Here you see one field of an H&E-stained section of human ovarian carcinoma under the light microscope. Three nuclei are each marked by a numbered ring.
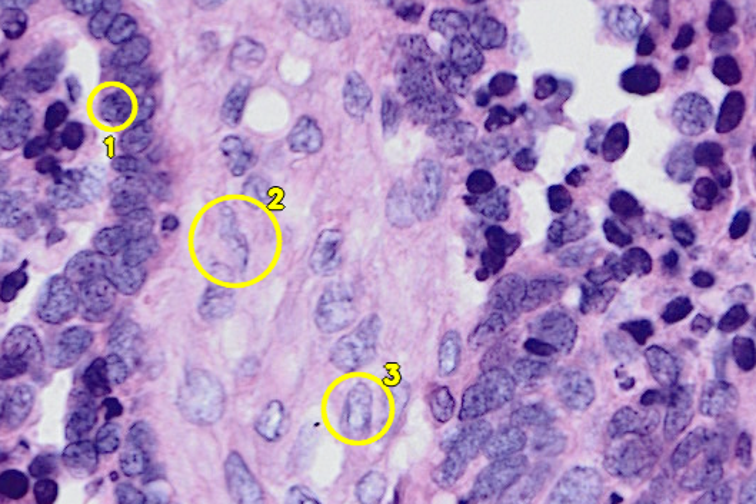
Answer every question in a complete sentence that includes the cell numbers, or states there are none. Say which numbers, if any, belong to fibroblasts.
Cells 2 and 3 are fibroblasts by cell type.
